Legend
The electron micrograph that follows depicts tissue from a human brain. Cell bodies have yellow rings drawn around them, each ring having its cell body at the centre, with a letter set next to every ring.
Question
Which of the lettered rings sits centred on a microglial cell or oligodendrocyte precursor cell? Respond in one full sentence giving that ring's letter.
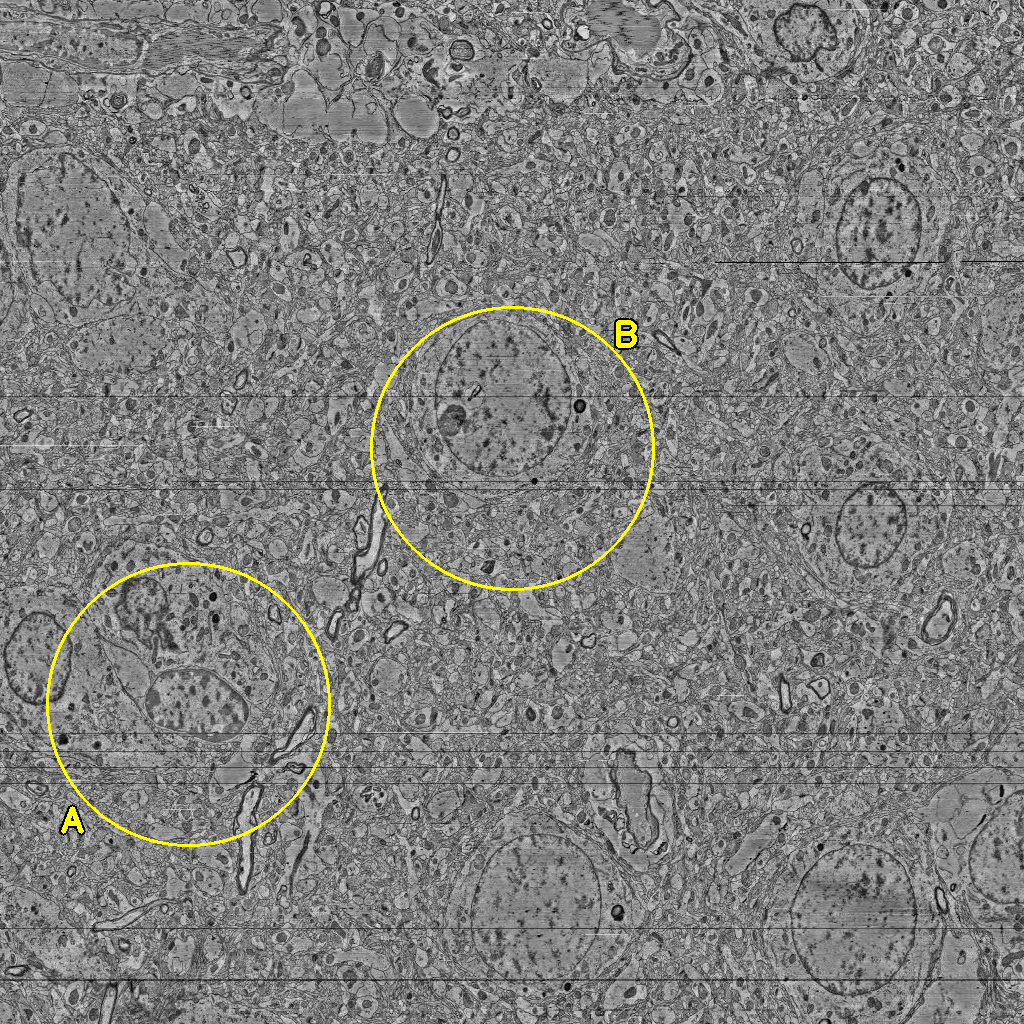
The letter A belongs to the ring centred on the cell asked about in the micrograph.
